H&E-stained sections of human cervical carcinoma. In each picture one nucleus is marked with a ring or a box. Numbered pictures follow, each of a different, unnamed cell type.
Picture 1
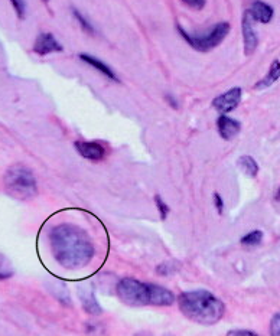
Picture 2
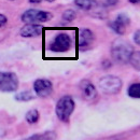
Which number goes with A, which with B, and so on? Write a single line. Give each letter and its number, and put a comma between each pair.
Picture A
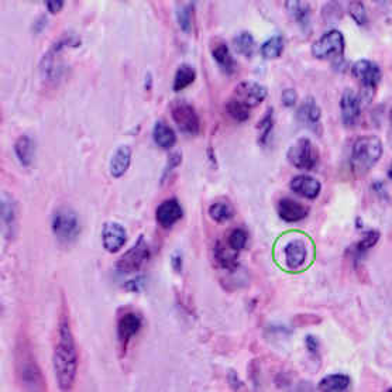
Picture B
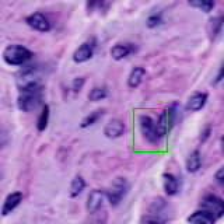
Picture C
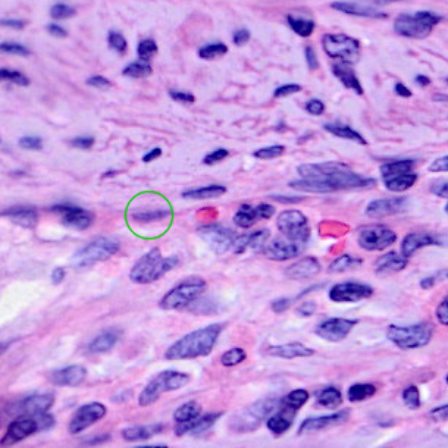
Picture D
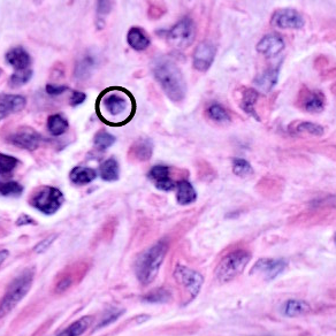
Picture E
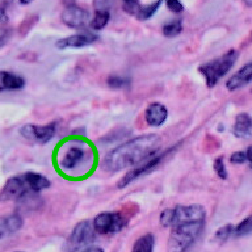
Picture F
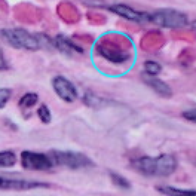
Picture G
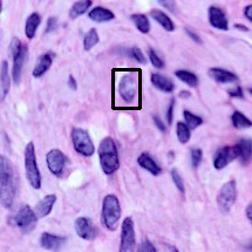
A 2, B 2, C 1, D 2, E 2, F 1, G 1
